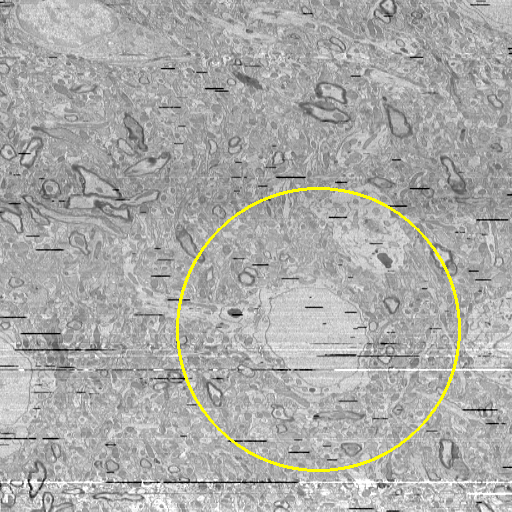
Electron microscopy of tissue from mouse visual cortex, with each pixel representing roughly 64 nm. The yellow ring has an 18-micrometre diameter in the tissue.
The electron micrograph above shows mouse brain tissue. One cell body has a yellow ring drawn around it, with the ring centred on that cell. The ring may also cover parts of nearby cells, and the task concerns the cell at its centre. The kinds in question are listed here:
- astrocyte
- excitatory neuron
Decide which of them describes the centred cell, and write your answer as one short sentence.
The centred cell is an excitatory neuron.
